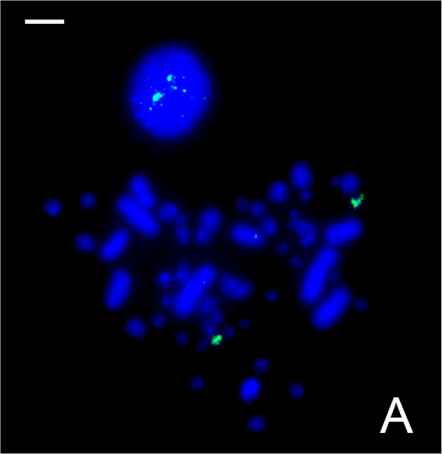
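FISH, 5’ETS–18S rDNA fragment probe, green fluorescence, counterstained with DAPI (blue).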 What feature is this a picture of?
mitotic chromosomes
